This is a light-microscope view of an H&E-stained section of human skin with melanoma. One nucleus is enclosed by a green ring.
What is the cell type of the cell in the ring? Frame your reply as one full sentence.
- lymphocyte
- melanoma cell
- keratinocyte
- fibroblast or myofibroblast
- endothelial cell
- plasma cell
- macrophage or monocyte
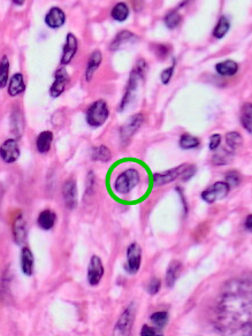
The classification of the cell in the ring is as a lymphocyte.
